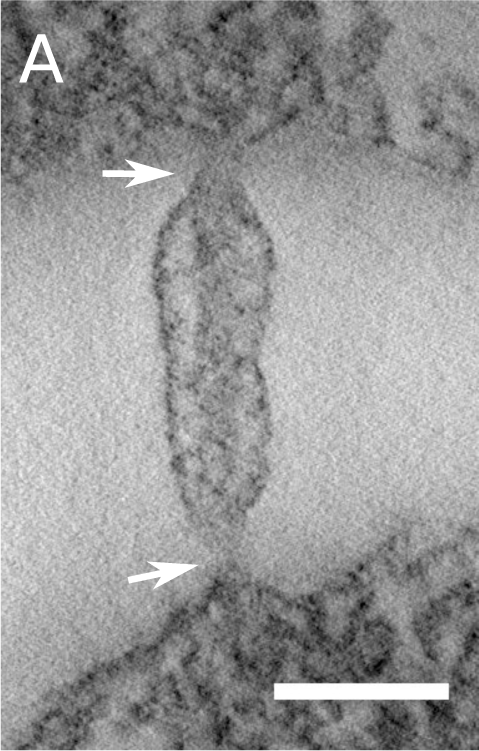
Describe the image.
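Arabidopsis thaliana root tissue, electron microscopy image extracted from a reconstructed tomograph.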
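The wall appears as a broad, pale, fairly uniform band across the middle of the image, while the cytoplasm of the two cells lies above and below as darker, granular material. The channel is an elongated, spindle-shaped tube lined by a dark membrane outline, widest in its middle stretch. At both ends, where it opens into the cytoplasm on either side, it narrows to a tight constriction, the neck regions. Inside the channel the contents look faintly granular and somewhat darker than the surrounding wall.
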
